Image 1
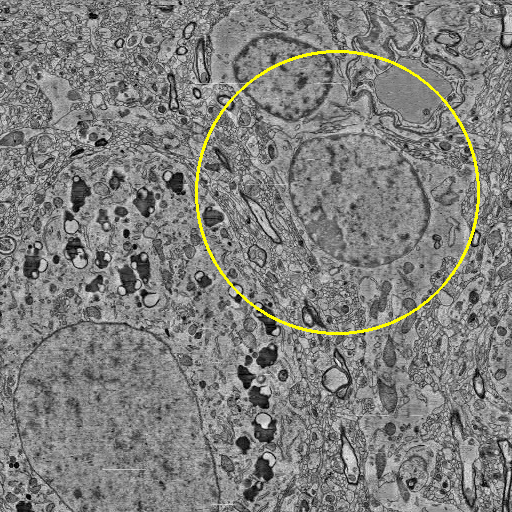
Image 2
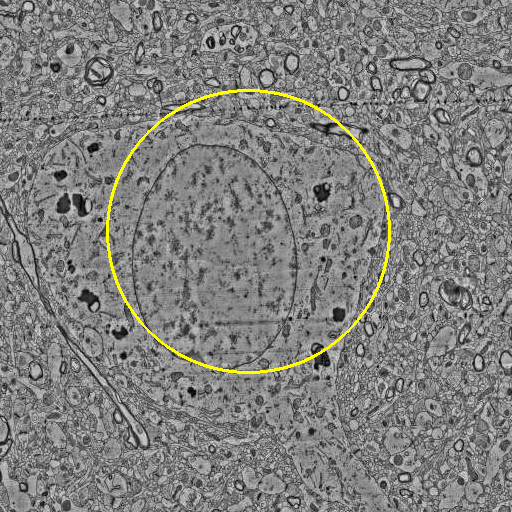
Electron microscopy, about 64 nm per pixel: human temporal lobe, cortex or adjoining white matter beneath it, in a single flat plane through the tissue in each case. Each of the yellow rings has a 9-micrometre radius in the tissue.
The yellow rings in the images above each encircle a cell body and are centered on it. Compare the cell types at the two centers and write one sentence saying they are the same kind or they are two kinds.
Taken together, the two cells at the ring centers are two kinds.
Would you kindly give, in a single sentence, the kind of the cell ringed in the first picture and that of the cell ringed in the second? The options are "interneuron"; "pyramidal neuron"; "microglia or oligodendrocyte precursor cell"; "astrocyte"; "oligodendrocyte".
The second cell is a pyramidal neuron, and the first cell is a microglial cell or oligodendrocyte precursor cell.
